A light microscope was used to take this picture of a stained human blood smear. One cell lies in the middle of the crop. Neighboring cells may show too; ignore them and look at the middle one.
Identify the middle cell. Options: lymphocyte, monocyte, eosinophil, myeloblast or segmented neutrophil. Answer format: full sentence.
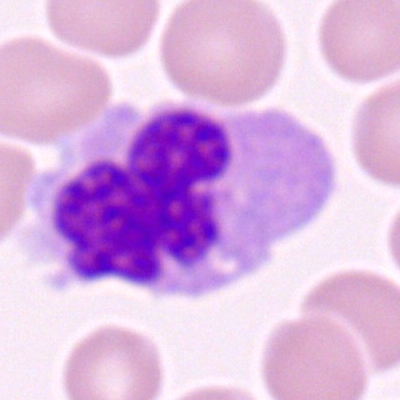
The centrally placed cell is classified as a monocyte.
